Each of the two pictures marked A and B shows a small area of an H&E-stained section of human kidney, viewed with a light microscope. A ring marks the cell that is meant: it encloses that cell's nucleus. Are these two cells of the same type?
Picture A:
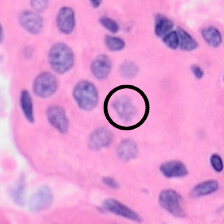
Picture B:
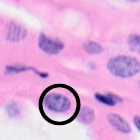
yes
